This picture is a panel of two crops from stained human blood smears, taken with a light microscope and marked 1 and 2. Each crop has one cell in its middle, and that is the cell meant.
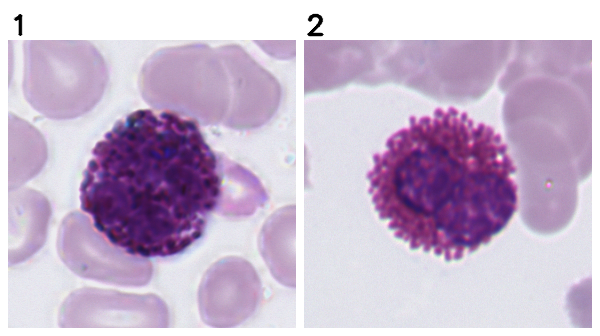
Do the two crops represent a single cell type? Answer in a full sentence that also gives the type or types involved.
No, a basophil is what occupies crop 1, and an eosinophil is what occupies crop 2.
